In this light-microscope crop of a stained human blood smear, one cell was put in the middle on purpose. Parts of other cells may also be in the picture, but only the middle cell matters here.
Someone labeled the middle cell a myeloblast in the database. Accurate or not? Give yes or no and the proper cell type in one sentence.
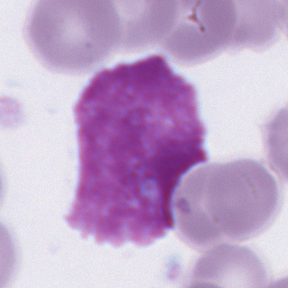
No, it is a smudge cell that sits in the middle, not a myeloblast.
